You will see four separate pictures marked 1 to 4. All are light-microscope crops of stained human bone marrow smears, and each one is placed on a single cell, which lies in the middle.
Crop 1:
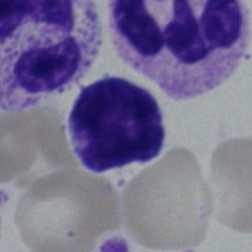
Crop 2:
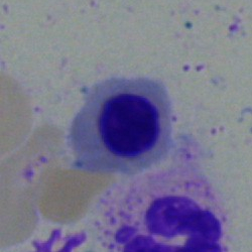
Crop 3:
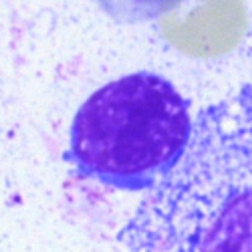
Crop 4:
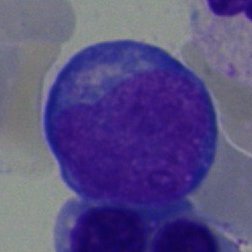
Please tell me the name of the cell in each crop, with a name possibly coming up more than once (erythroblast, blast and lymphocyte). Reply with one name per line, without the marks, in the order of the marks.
lymphocyte
erythroblast
lymphocyte
blast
